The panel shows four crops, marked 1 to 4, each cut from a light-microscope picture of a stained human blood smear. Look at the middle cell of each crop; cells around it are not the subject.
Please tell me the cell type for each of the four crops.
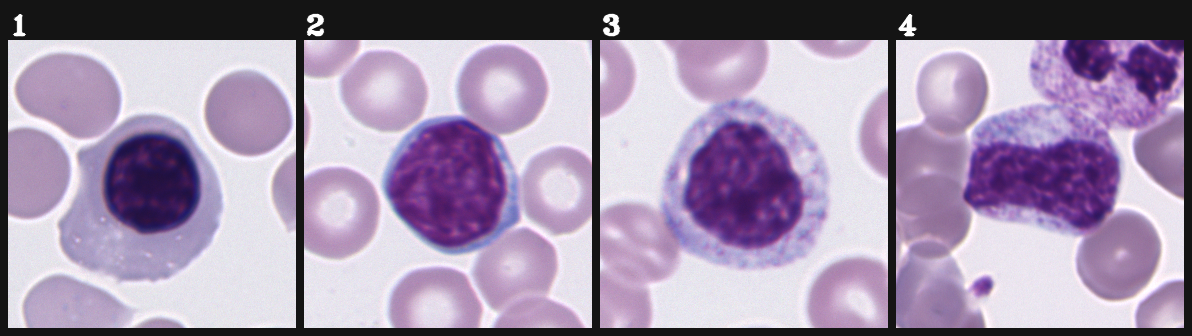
1: normoblast
2: typical lymphocyte
3: metamyelocyte
4: metamyelocyte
